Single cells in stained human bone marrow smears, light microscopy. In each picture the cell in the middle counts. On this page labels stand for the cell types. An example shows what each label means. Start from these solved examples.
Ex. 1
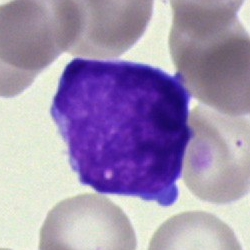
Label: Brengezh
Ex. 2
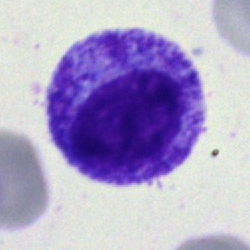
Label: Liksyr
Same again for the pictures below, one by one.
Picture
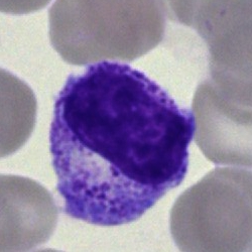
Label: Liksyr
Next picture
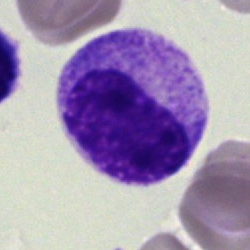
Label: Liksyr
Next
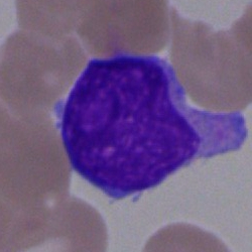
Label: Brengezh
